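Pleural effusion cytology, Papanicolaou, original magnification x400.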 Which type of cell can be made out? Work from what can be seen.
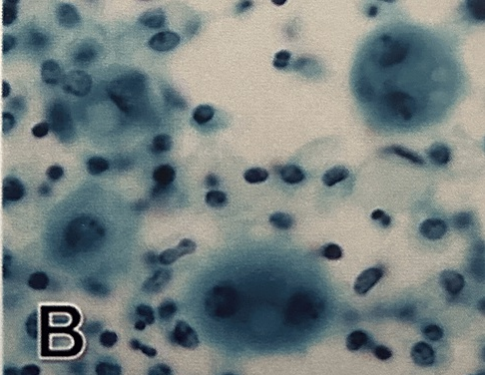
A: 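Large epithelioid cells. Several cells are far larger than the surrounding small cells. The large cells have abundant dense blue-green cytoplasm. Some large cells contain two oval nuclei.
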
